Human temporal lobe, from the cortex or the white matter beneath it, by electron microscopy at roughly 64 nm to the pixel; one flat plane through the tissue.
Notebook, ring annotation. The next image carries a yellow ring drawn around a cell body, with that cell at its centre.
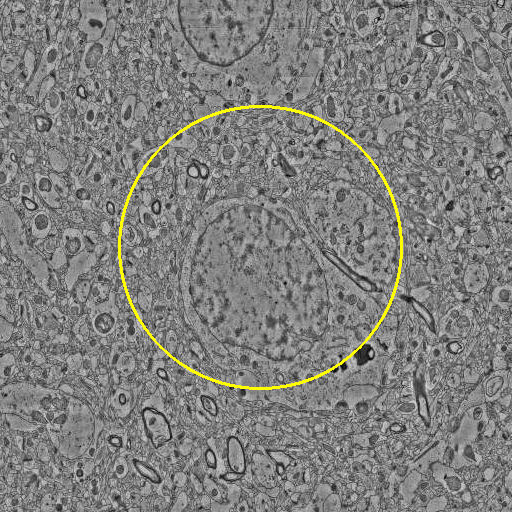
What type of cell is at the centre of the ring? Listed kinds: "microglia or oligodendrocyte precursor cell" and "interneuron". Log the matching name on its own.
interneuron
